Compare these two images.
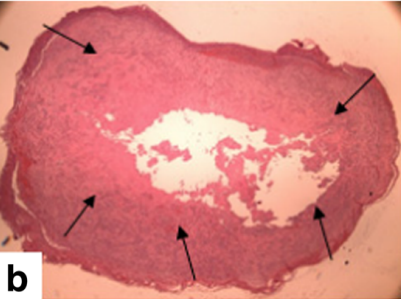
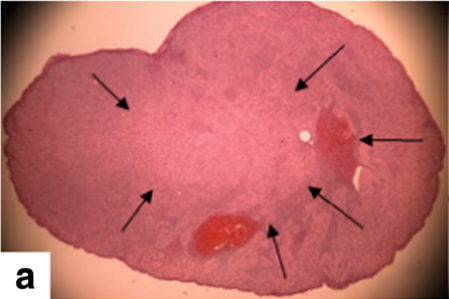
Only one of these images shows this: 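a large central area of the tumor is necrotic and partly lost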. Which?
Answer: the first image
